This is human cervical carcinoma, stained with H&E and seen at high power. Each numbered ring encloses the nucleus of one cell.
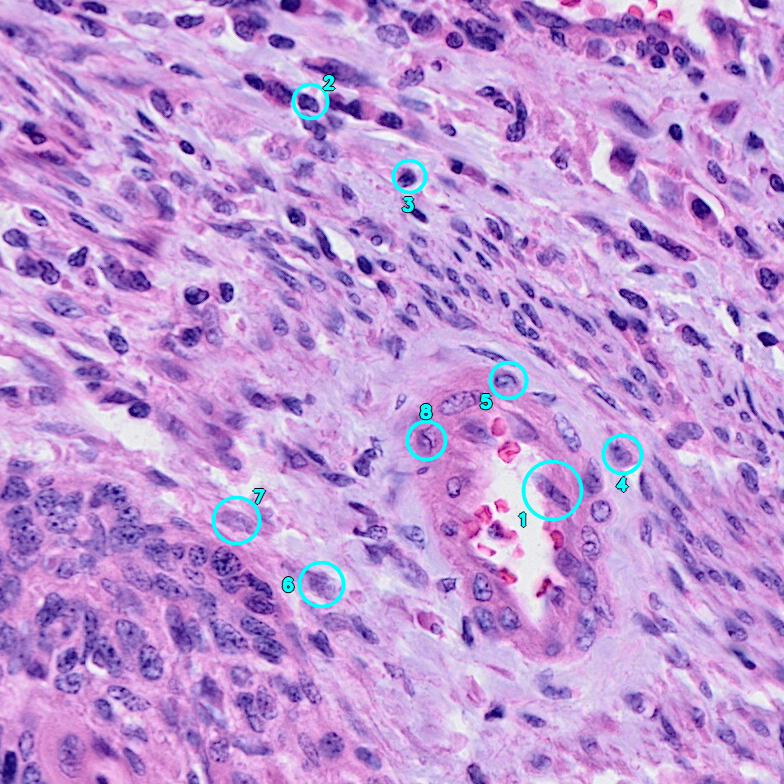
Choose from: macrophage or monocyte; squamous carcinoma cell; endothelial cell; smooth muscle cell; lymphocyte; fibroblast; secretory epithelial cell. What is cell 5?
smooth muscle cell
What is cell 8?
smooth muscle cell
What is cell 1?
endothelial cell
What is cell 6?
fibroblast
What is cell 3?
lymphocyte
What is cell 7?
fibroblast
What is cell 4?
macrophage or monocyte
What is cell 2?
lymphocyte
